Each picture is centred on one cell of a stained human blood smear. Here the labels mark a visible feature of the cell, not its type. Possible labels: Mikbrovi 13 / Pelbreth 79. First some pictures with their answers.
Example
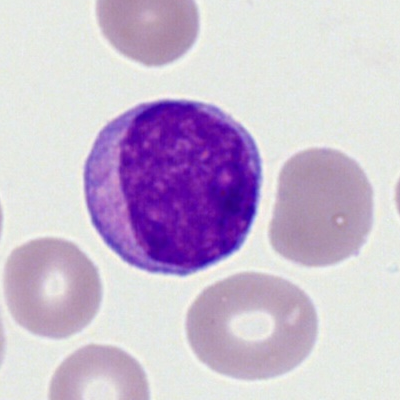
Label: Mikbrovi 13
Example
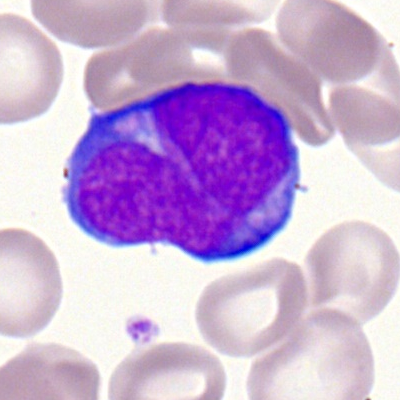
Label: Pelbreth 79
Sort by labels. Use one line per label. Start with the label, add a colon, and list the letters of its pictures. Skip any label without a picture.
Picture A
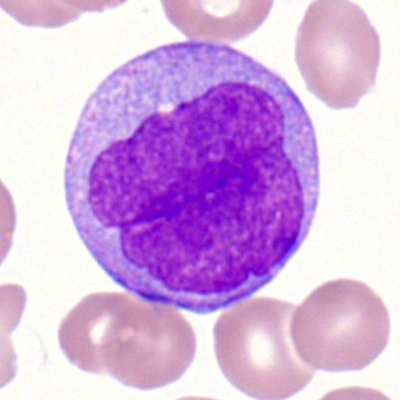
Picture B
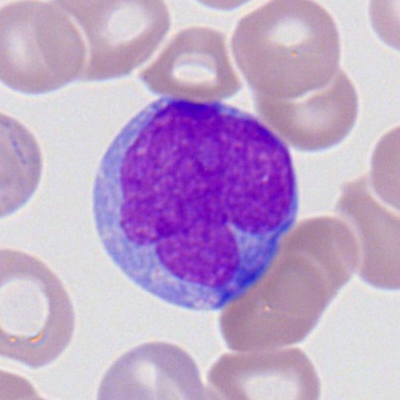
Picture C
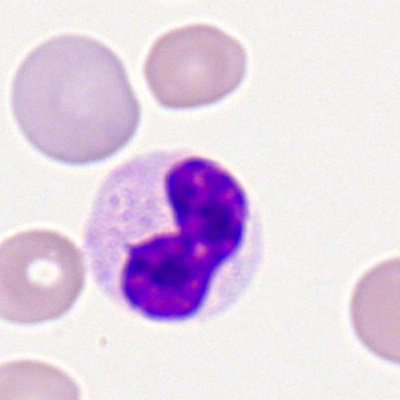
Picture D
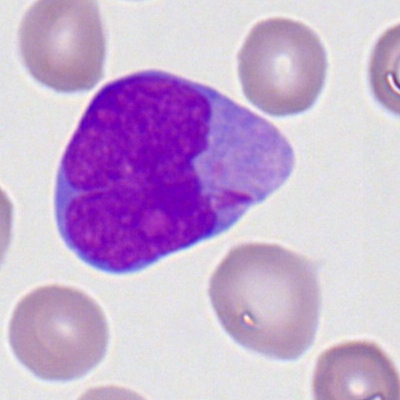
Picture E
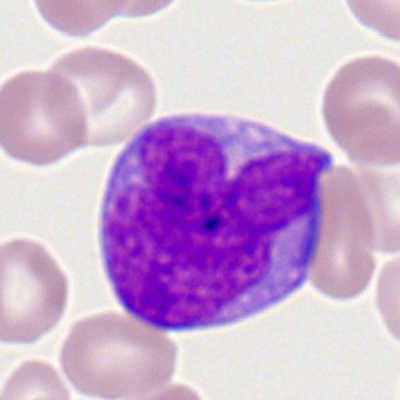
Mikbrovi 13: C
Pelbreth 79: A, B, D, E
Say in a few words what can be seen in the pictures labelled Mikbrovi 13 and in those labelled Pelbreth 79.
Seen in Mikbrovi 13: single compact nucleus; seen in Pelbreth 79: lobed nucleus.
